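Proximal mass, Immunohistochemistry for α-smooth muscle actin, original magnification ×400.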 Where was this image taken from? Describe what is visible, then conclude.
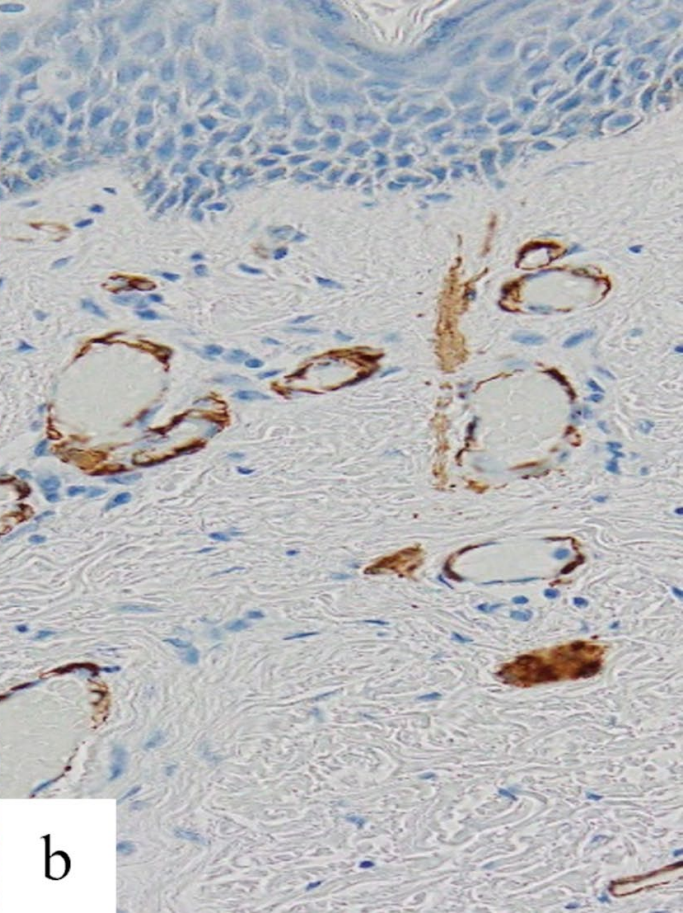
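Dermis. A stratified layer of blue-nucleated cells lies at the top of the panel. Below it lies connective tissue with wavy fibres, scattered nuclei and small rounded channels.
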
